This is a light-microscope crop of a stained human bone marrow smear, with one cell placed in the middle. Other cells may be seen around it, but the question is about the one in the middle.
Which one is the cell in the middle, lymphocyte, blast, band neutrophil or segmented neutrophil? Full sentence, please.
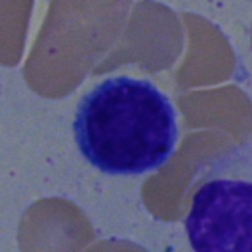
On this slide crop, the central cell is a lymphocyte.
